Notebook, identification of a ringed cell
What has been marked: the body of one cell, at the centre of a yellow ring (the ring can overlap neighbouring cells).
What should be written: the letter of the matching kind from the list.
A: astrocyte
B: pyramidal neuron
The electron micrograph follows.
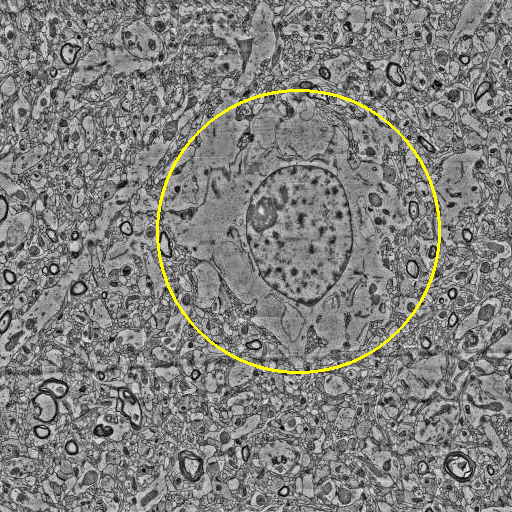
A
